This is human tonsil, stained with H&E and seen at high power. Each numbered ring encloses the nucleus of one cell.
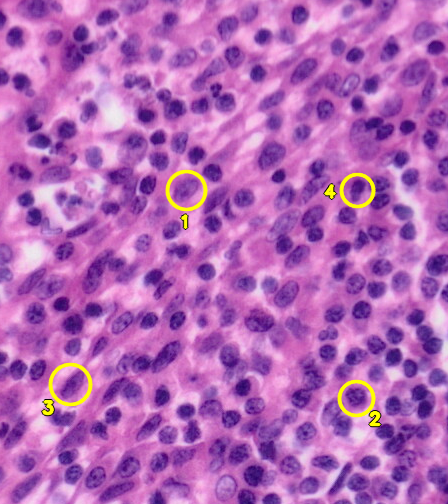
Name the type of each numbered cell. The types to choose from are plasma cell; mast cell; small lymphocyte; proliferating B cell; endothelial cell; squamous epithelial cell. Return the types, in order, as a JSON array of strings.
["squamous epithelial cell", "plasma cell", "squamous epithelial cell", "plasma cell"]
